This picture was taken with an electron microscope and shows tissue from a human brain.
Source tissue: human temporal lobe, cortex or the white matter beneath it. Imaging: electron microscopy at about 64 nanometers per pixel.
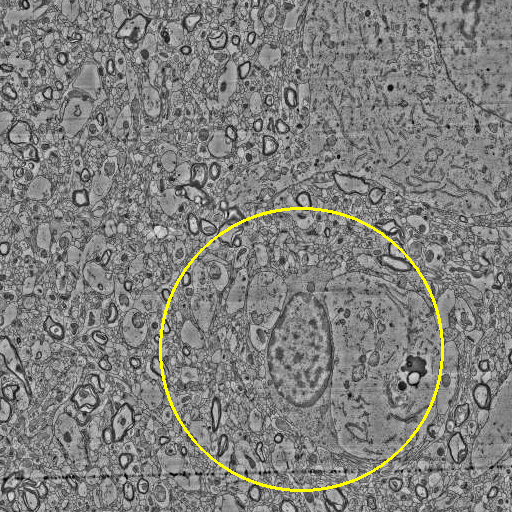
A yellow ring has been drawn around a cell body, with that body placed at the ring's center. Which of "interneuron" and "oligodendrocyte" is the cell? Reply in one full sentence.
In this picture, an oligodendrocyte is the cell at the center of the yellow ring.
